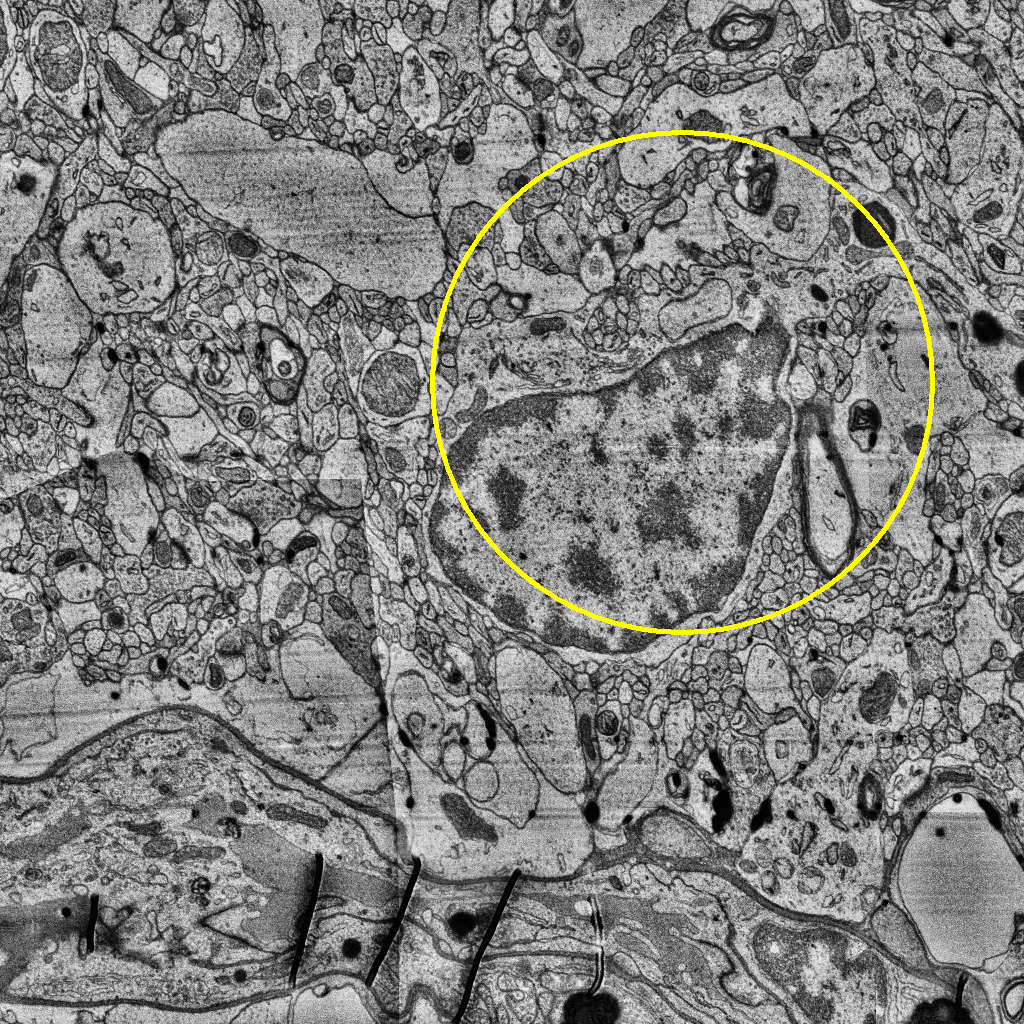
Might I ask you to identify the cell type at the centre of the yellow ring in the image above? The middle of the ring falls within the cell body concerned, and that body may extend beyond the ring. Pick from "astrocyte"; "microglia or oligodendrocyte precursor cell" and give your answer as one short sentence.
The centre of the ring falls on a microglial cell or oligodendrocyte precursor cell.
